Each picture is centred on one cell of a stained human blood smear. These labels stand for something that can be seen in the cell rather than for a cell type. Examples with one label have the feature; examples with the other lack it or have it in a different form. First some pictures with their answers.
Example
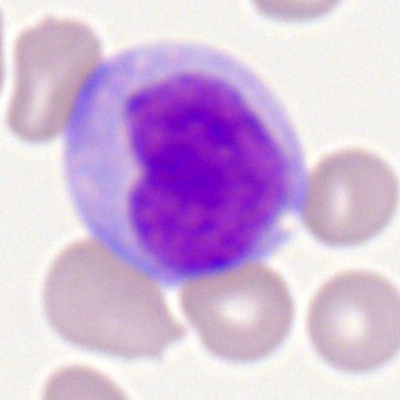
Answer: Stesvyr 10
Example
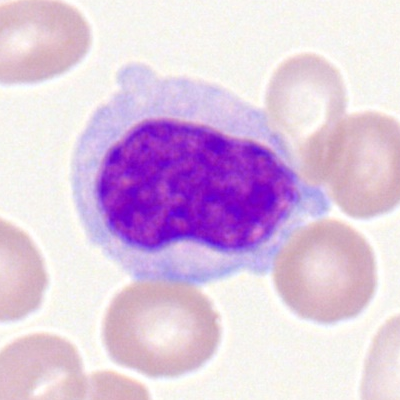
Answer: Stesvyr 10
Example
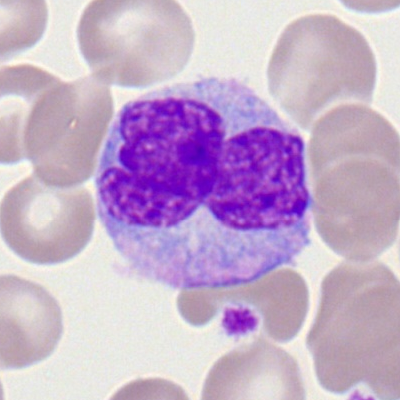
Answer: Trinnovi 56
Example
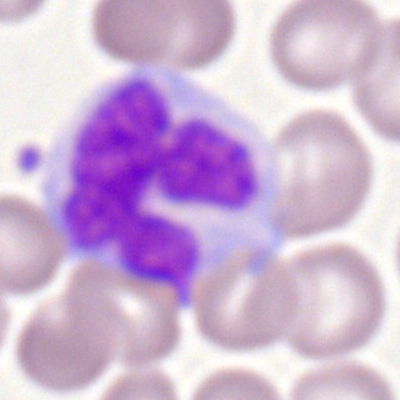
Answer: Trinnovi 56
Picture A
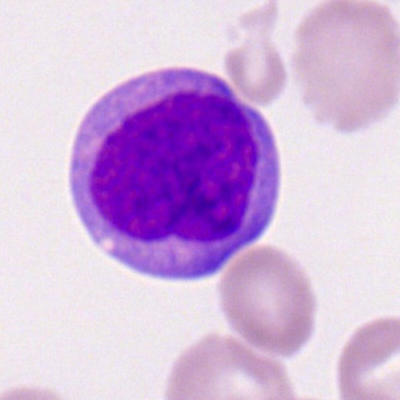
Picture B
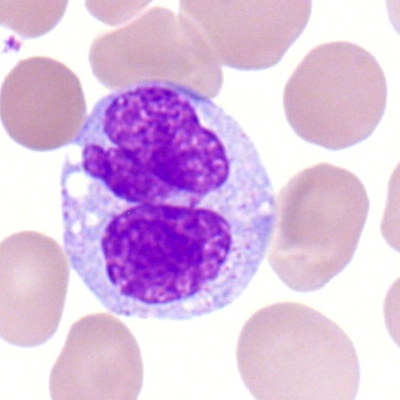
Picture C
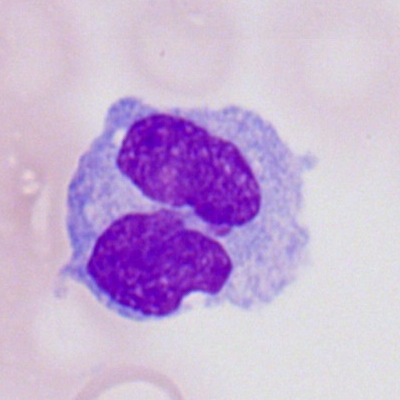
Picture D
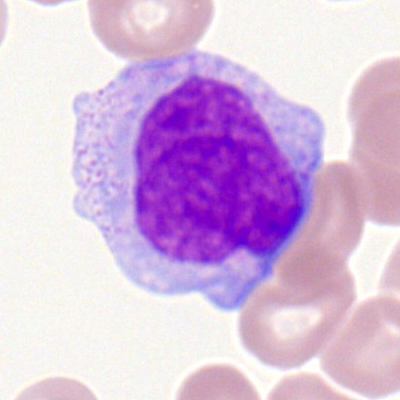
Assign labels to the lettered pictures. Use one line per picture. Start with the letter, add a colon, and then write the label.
A: Stesvyr 10
B: Trinnovi 56
C: Trinnovi 56
D: Stesvyr 10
